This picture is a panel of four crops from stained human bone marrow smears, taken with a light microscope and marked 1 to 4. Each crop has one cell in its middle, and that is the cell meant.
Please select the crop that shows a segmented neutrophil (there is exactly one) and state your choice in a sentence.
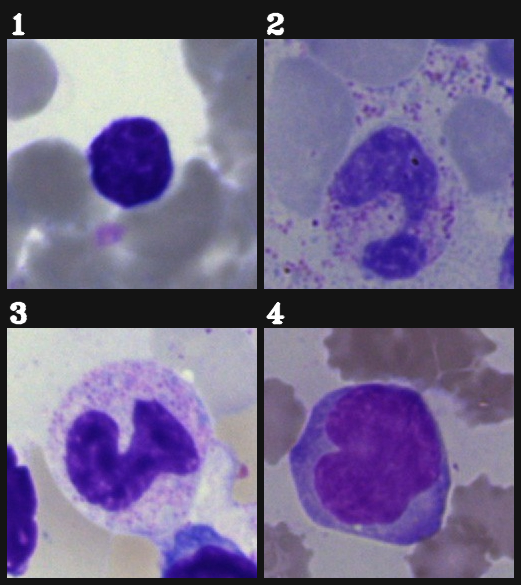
Among these crops, crop 2 holds a segmented neutrophil.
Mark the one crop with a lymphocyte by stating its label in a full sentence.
On review of the set, crop 1 is the one showing a lymphocyte.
